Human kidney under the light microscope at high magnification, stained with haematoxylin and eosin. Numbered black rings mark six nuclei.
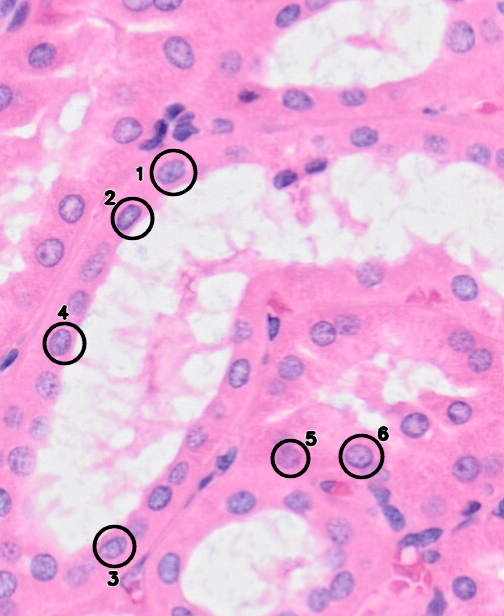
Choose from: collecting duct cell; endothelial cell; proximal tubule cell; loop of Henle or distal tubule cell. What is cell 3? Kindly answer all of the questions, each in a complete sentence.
The marked nucleus 3 is that of a loop of Henle or distal tubule cell.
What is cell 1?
In this section, number 1 marks a loop of Henle or distal tubule cell.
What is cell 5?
The one numbered 5 among the marked cells is a proximal tubule cell.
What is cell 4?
Corresponding to a loop of Henle or distal tubule cell is the cell labelled 4.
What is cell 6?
The cell indicated with the number 6 is classed as a proximal tubule cell.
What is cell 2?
The cell referred to as 2 is a loop of Henle or distal tubule cell.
